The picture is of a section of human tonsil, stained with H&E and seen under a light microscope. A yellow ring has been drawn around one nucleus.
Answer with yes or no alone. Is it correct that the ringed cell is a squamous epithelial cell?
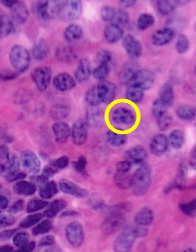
no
